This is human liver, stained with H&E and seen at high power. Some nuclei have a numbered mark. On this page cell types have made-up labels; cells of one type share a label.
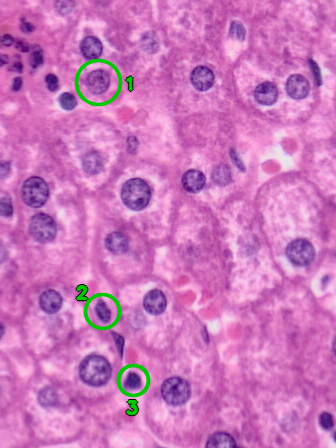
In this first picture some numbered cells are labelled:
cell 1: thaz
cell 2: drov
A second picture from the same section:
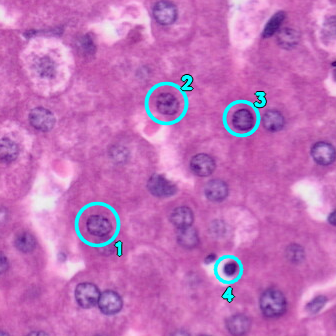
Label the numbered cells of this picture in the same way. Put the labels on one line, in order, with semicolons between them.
thaz; thaz; thaz; drov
